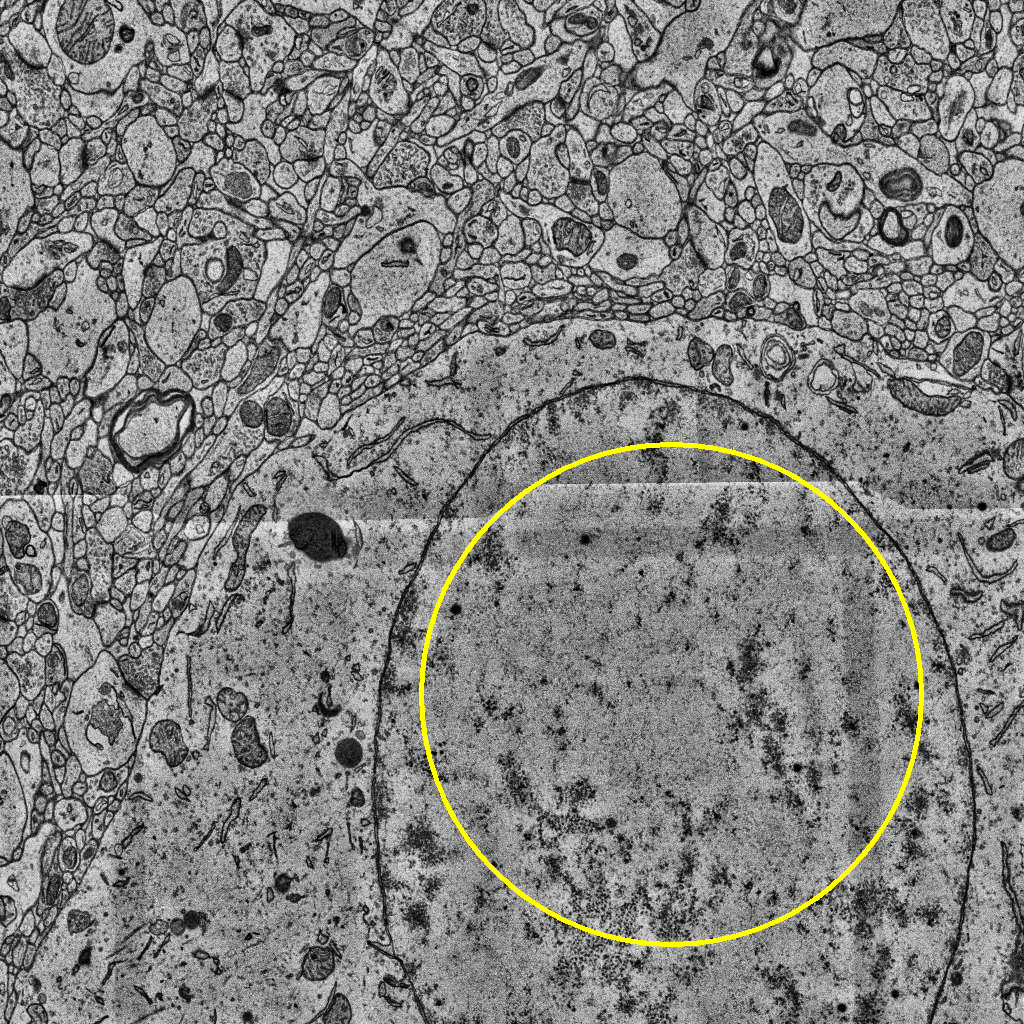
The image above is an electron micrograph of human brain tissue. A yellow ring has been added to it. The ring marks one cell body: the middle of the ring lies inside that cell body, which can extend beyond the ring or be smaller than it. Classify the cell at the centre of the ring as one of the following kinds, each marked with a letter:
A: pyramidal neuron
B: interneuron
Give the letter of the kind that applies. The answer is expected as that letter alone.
A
